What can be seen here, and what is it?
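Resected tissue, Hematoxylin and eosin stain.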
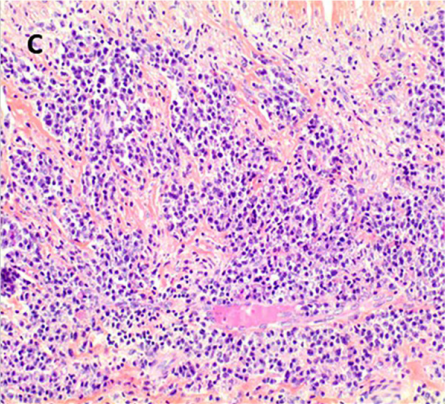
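Fibroinflammatory tissue with a dense infiltrate of lymphocytes and plasma cells. Small round cells with dark purple nuclei are packed in sheets across most of the field. A small vessel with red blood cells lies within the fibrous tissue near the lower part of the field.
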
